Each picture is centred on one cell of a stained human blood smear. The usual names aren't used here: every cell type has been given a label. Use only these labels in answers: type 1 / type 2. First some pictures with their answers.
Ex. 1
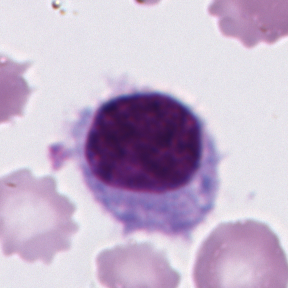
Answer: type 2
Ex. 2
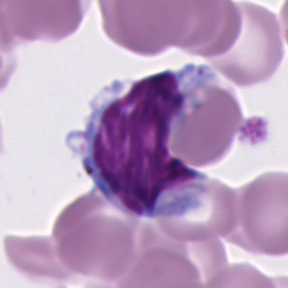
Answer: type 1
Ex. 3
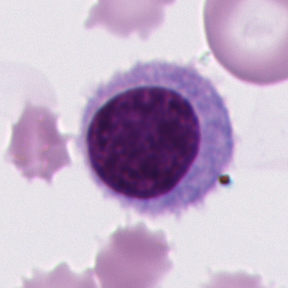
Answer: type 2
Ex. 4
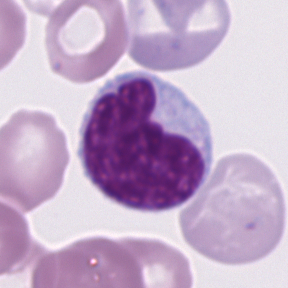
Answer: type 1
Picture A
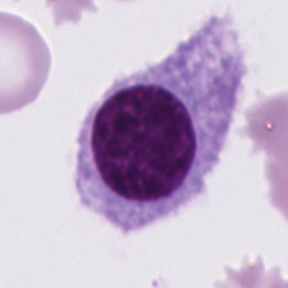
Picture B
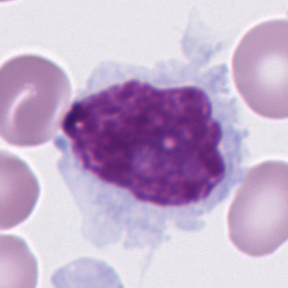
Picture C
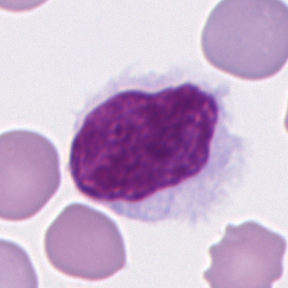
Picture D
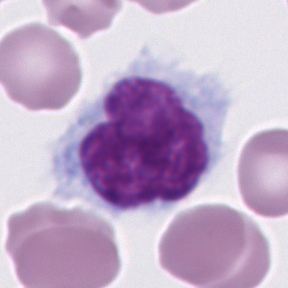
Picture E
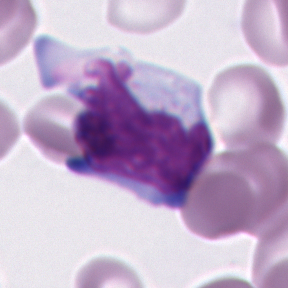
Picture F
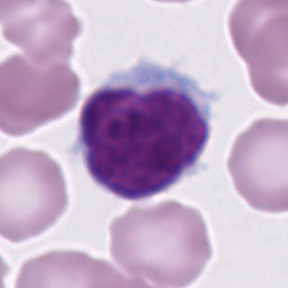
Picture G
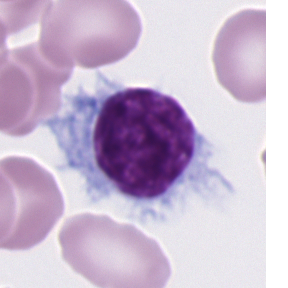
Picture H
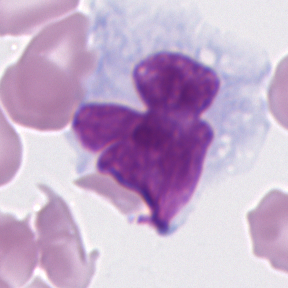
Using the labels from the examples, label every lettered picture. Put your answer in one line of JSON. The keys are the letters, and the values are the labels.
{"A": "type 2", "B": "type 2", "C": "type 2", "D": "type 2", "E": "type 1", "F": "type 2", "G": "type 2", "H": "type 2"}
